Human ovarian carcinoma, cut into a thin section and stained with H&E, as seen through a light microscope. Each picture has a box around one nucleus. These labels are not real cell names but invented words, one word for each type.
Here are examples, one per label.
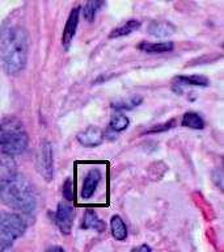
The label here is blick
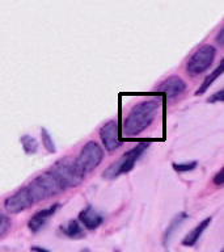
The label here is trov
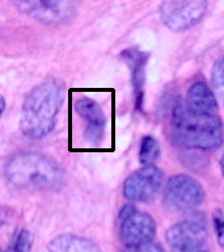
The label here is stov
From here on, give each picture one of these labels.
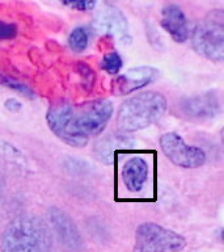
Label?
blick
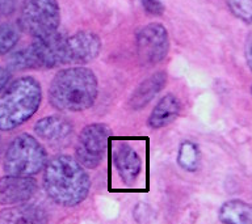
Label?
stov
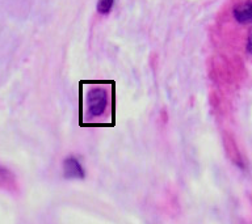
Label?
stov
